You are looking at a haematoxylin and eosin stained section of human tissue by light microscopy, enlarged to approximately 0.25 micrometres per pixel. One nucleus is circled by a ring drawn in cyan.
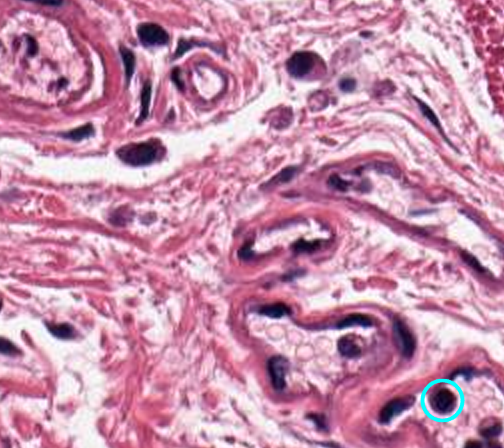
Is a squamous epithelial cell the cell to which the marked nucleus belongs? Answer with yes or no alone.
no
